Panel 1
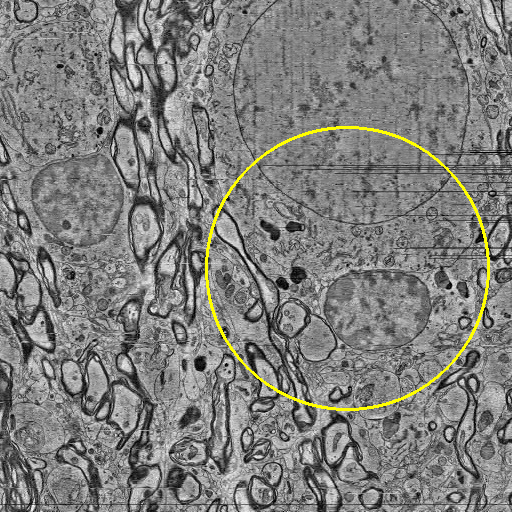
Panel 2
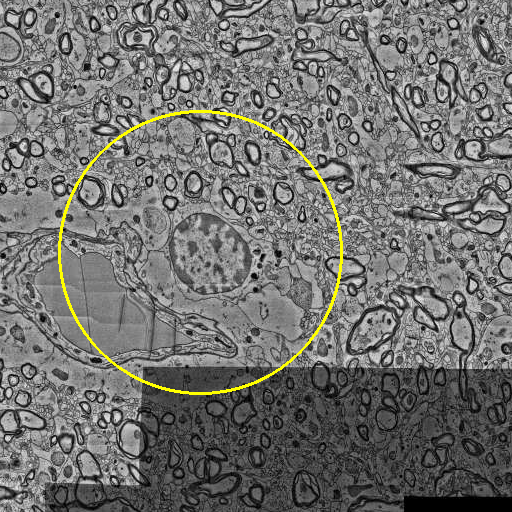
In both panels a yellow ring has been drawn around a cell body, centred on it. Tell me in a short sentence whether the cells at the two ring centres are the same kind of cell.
Yes, they are the same kind of cell.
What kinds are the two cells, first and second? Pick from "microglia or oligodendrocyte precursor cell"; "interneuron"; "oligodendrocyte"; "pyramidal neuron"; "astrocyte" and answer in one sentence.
Each of the two cells is a microglial cell or oligodendrocyte precursor cell.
